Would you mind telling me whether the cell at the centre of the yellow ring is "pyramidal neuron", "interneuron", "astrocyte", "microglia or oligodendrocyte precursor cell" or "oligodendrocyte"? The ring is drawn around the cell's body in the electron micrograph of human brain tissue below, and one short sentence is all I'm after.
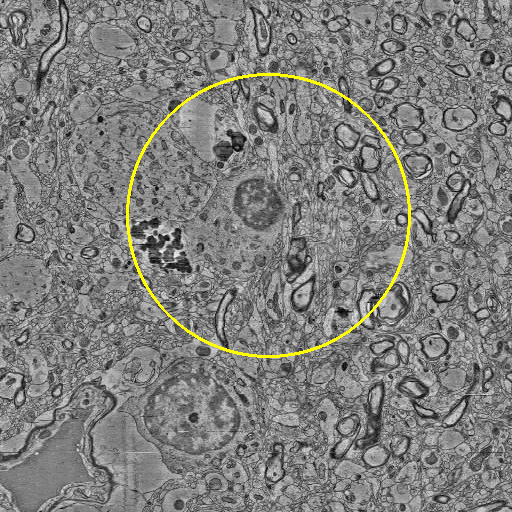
In the centre of the ring lies an oligodendrocyte.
